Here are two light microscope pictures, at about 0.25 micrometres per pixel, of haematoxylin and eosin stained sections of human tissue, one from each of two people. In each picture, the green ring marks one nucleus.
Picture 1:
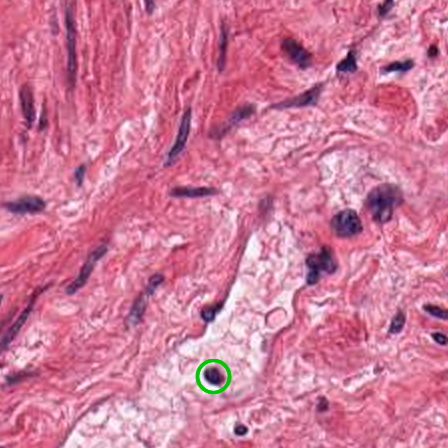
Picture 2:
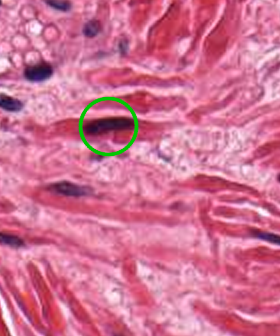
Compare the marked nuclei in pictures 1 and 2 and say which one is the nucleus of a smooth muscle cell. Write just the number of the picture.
2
